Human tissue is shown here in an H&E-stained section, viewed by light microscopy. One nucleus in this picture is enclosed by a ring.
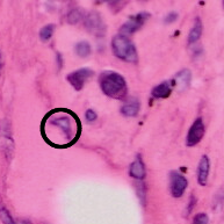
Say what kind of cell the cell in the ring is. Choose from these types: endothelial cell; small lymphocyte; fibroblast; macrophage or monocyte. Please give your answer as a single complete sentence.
The expected answer is simply that the cell in the ring is an endothelial cell.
